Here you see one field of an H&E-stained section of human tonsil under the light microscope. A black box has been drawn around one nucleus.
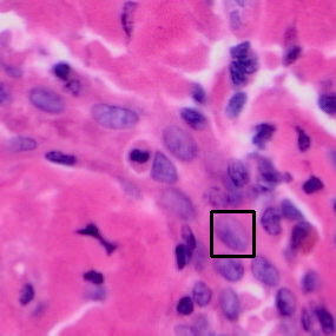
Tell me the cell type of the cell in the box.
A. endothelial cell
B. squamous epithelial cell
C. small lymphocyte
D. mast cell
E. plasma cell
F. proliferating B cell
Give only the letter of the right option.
A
